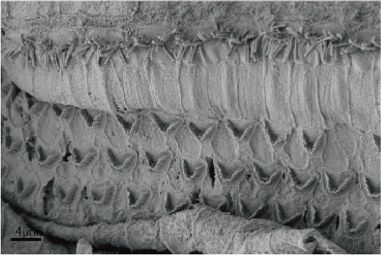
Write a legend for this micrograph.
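A surface view in the scanning electron microscope of the cochlear sensory epithelium, showing rows of hair cells. Three regular rows of cells each carry a V-shaped bundle of stereocilia, with a further row of cells and their bundles running along the top edge.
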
